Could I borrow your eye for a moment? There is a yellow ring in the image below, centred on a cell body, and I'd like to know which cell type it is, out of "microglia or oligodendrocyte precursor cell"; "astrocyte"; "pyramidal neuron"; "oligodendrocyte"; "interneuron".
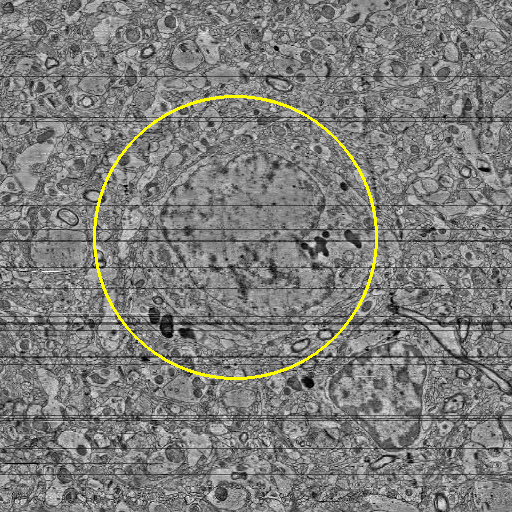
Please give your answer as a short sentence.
The cell body at the centre is that of an interneuron.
